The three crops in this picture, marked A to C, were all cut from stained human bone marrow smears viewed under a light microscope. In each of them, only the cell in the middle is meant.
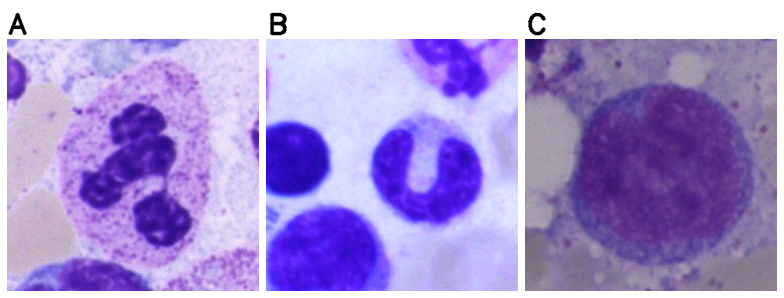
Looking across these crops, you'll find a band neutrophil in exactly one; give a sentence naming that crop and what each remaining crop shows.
Crop B carries a band neutrophil in its middle, whereas crop A is a segmented neutrophil and crop C is a proerythroblast.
